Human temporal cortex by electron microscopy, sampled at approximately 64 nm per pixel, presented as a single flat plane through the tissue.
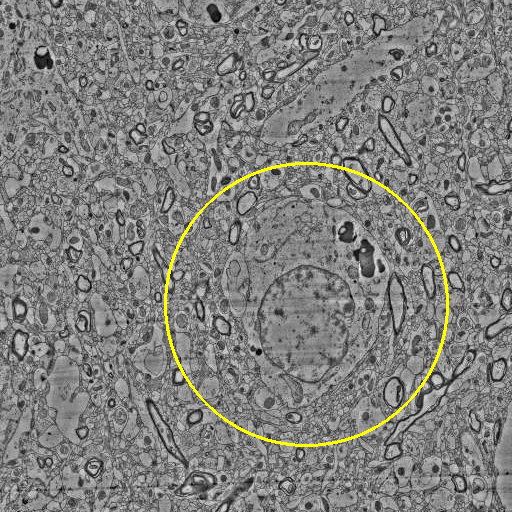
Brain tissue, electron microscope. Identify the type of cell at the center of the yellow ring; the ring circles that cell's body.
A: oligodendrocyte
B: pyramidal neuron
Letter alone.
B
